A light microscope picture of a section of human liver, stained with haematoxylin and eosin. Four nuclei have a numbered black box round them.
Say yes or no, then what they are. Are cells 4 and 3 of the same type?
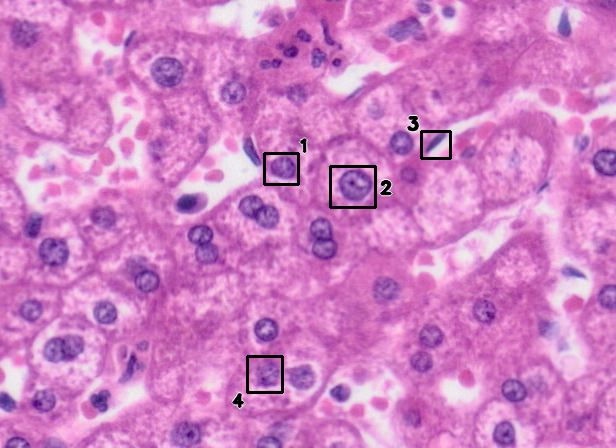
No, the cell numbered 4 is a hepatocyte, and the cell numbered 3 is an endothelial cell.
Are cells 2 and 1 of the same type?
Yes: cells 2 and 1 are both hepatocytes.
